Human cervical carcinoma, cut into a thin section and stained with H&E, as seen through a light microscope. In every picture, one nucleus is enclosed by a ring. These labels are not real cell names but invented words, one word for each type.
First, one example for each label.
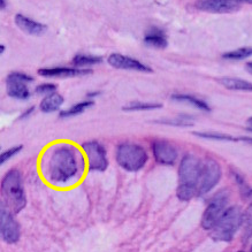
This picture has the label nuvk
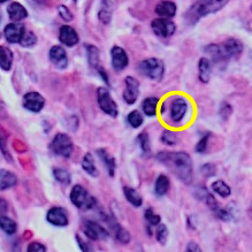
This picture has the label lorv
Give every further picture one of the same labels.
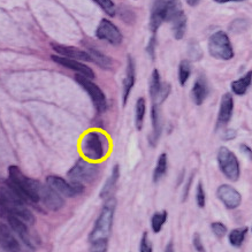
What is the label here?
nuvk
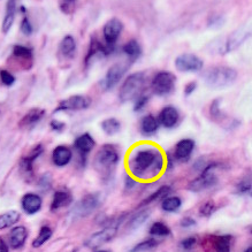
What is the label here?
lorv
